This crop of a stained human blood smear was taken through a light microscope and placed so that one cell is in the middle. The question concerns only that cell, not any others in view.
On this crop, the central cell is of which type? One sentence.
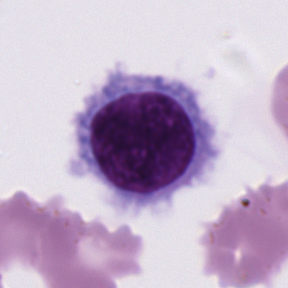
In the middle of this smear crop is a hairy cell.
